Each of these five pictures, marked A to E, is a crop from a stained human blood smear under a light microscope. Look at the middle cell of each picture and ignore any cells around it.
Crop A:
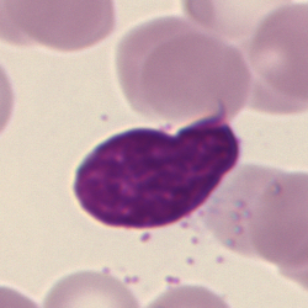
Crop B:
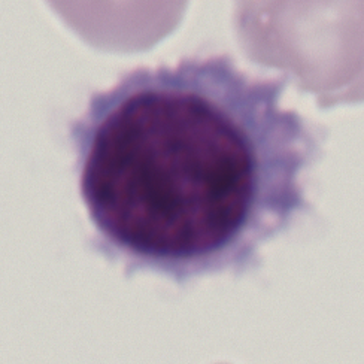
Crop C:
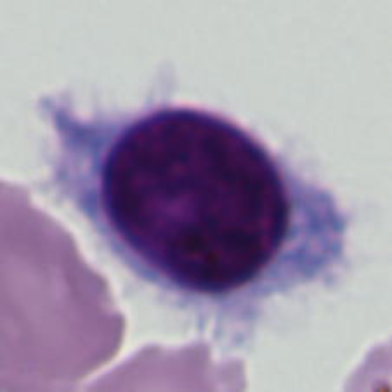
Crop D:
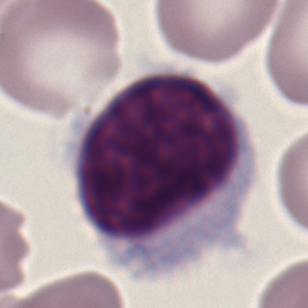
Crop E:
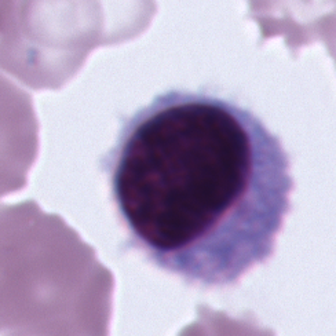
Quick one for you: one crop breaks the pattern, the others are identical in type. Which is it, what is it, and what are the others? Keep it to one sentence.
In crop A the central cell is a smudge cell, whereas the other crops all contain hairy cells.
